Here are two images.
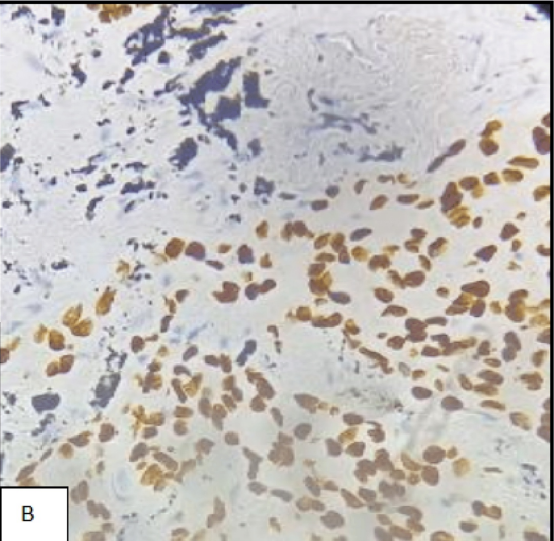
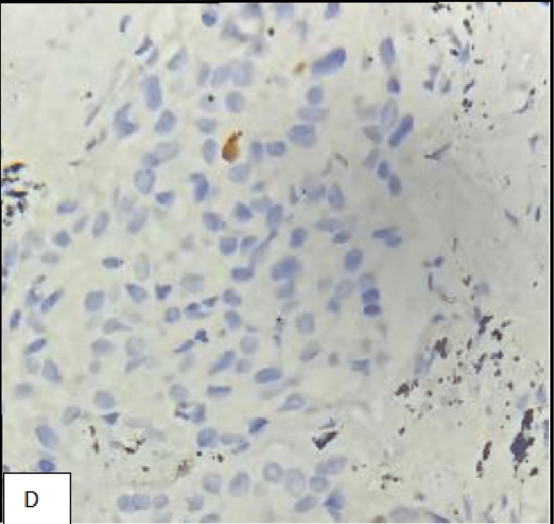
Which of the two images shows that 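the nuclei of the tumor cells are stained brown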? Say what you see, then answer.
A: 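The first image. First image: most tumor nuclei are stained strongly brown.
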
